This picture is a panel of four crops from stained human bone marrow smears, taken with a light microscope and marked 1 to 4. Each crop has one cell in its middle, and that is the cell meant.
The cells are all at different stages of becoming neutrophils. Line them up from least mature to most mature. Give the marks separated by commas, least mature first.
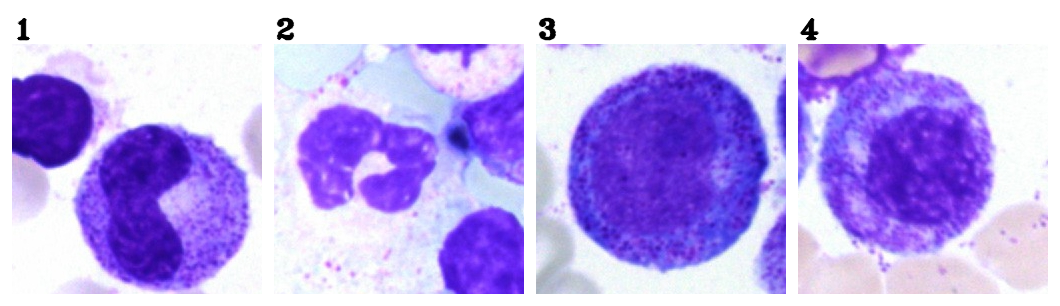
3, 4, 1, 2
